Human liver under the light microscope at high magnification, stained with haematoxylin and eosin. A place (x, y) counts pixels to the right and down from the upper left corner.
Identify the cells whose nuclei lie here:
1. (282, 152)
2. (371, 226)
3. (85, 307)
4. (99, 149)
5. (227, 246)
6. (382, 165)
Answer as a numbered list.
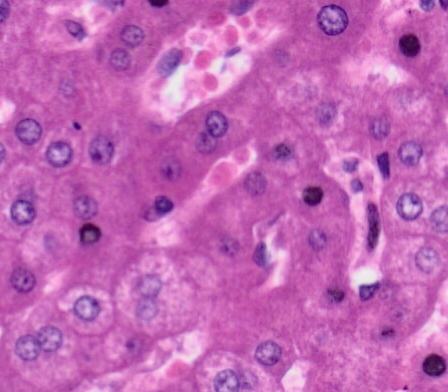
1. hepatocyte
2. Kupffer cell
3. hepatocyte
4. hepatocyte
5. hepatocyte
6. fibroblast or stellate cell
